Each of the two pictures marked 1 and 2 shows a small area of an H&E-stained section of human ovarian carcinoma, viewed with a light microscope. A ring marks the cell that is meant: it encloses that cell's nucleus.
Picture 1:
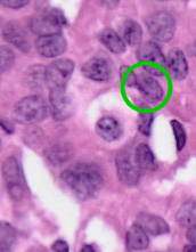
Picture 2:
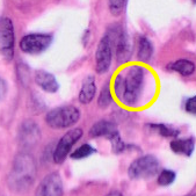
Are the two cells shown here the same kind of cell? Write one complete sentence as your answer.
Yes, they are the same type: both are carcinoma cells.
